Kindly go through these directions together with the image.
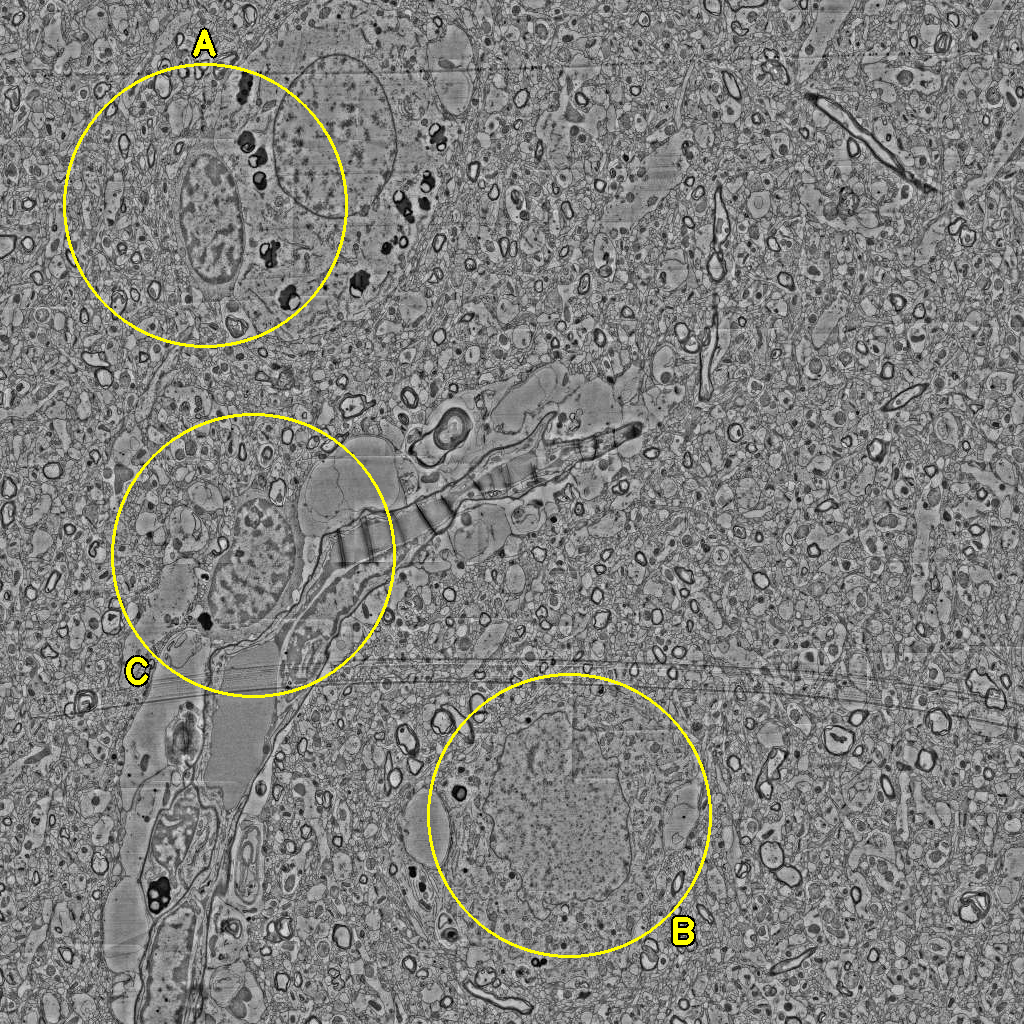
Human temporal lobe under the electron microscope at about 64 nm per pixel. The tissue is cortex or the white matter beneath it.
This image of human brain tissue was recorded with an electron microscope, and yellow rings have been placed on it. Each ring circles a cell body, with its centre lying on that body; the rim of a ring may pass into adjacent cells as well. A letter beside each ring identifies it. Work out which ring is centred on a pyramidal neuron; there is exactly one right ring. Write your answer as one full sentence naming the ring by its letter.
Ring B is the one whose centre lies on a cell of that kind.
